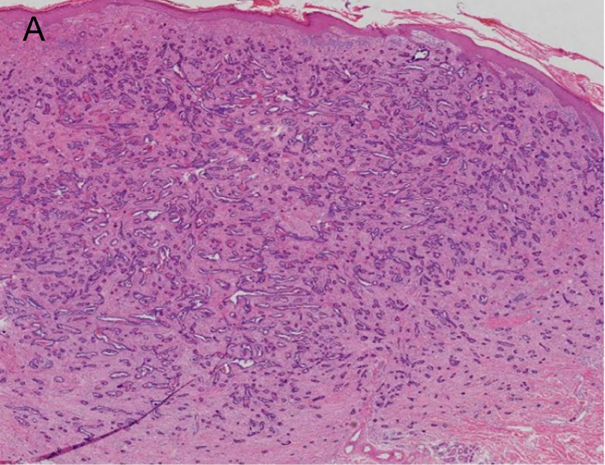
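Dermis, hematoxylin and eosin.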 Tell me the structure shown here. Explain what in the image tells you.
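The dermis beneath the epidermis is packed with small slit-like and round spaces. That points to this answer: ductal and cystic lumen-like structures.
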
